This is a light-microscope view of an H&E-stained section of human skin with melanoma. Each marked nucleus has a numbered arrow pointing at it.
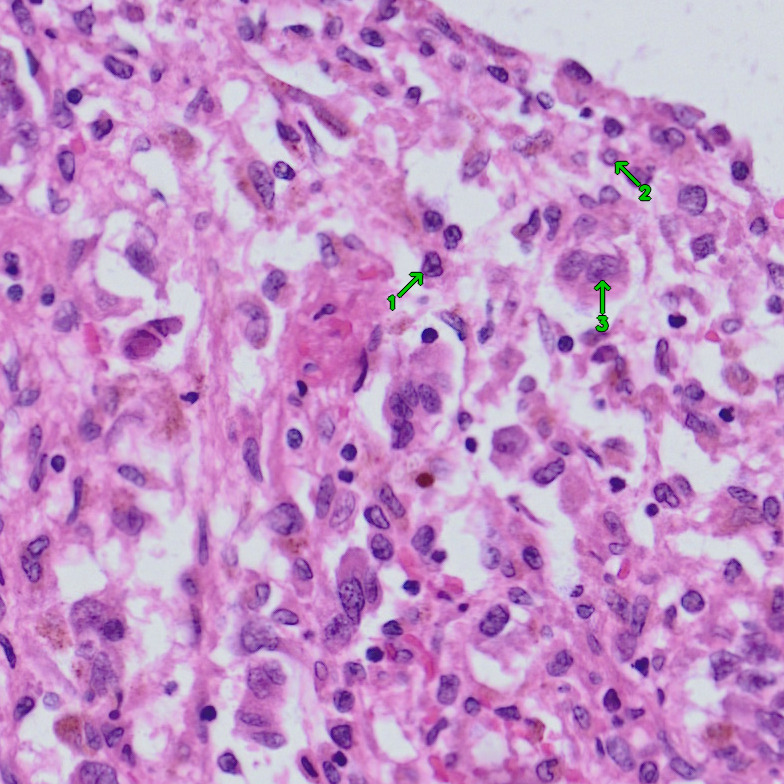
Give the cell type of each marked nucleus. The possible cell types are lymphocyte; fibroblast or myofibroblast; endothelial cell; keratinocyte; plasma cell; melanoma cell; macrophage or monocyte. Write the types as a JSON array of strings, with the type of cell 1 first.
["macrophage or monocyte", "macrophage or monocyte", "melanoma cell"]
